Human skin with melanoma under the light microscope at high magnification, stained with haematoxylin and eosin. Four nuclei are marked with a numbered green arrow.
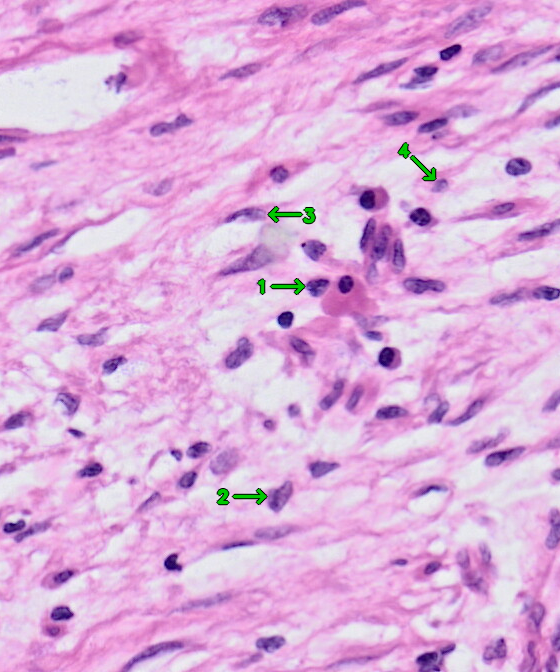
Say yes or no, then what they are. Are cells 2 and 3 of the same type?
No, cell number 2 is a macrophage or monocyte, and cell number 3 is a fibroblast or myofibroblast.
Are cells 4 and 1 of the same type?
No, not so; cell 4 is a macrophage or monocyte and cell 1 is a lymphocyte.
